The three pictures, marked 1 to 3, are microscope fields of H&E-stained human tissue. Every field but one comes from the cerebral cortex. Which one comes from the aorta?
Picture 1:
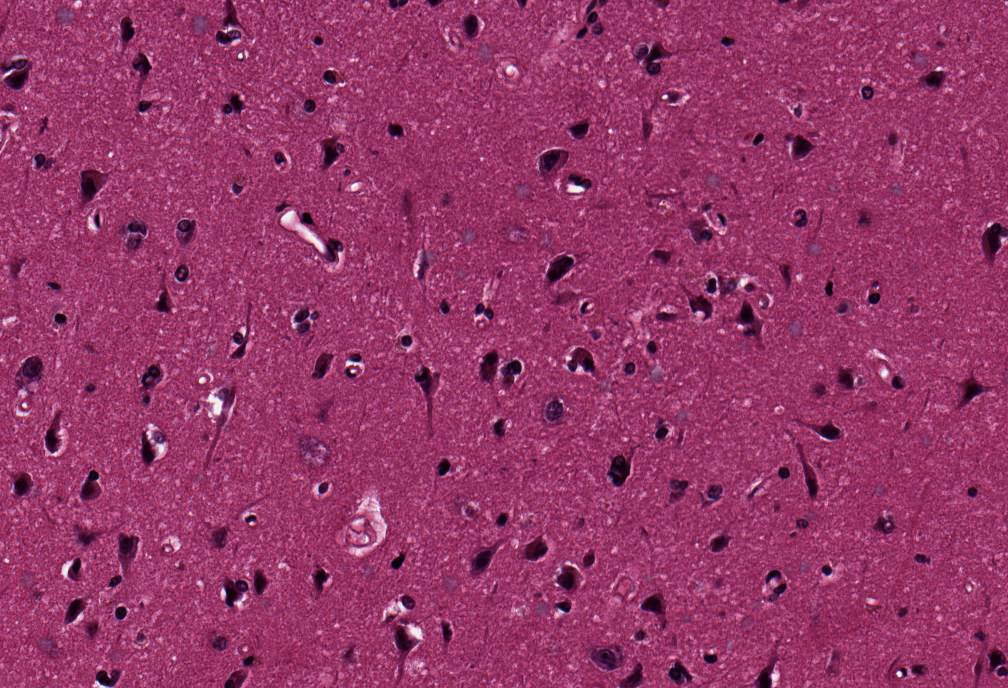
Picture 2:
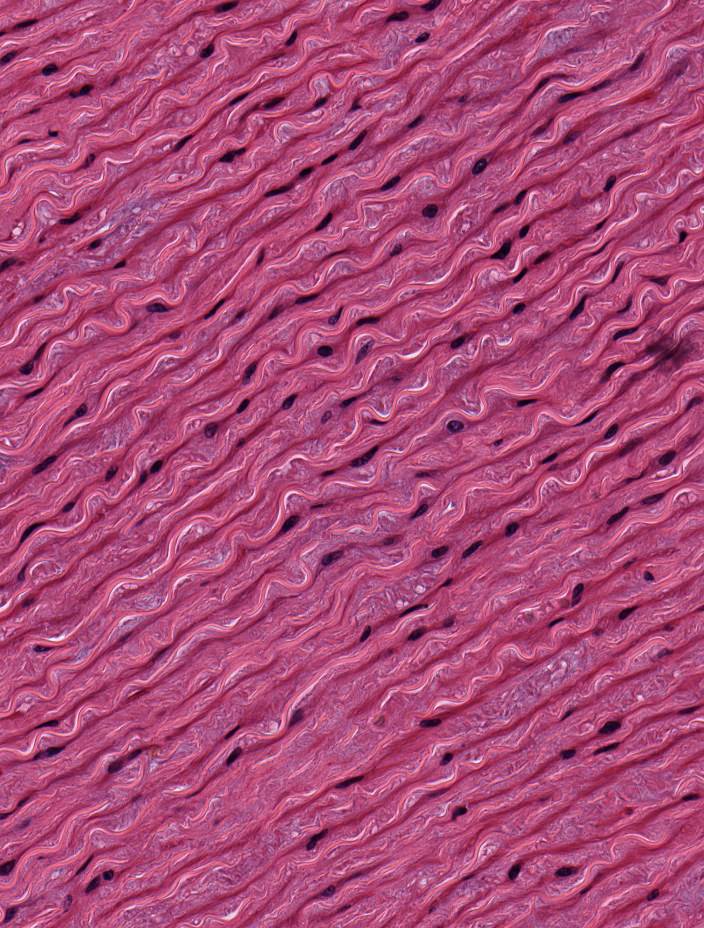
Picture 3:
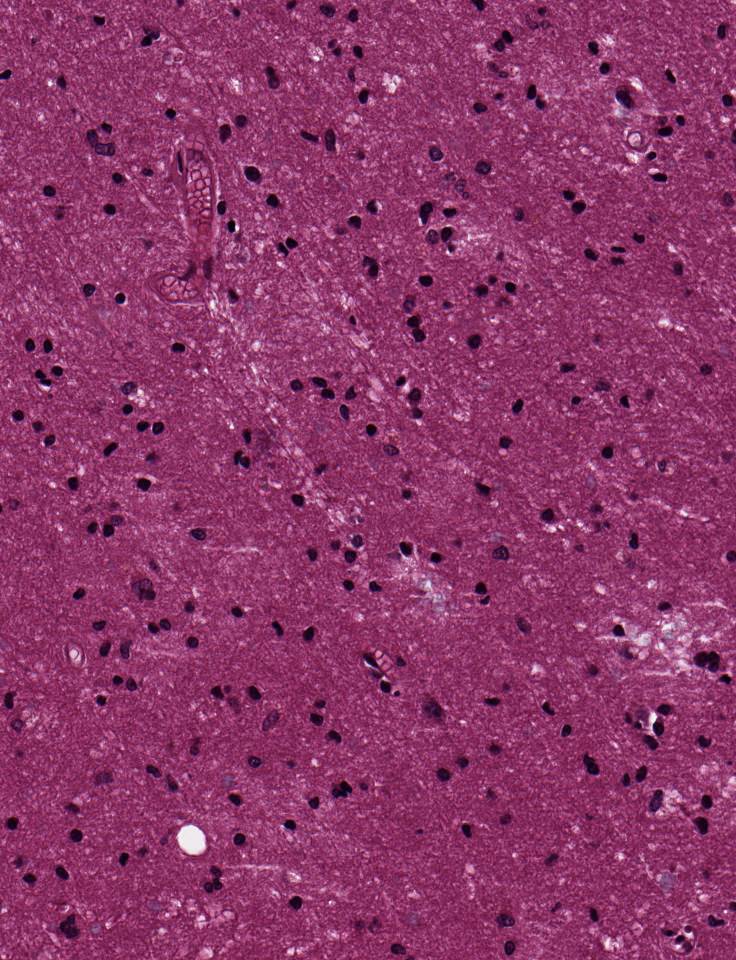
2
